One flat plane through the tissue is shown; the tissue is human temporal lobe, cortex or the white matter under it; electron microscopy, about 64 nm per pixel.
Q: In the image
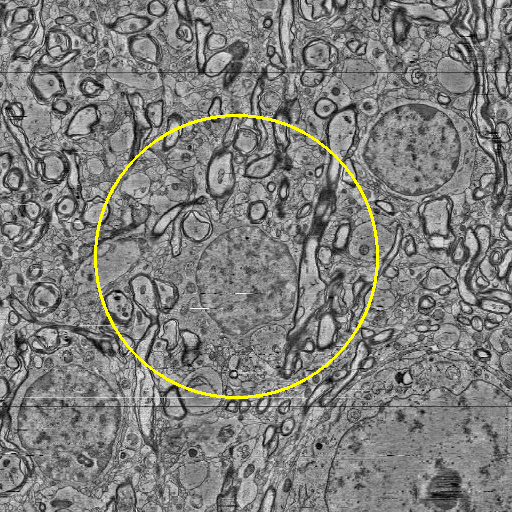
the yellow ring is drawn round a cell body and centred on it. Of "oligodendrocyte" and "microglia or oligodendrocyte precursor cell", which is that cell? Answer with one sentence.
The cell centred in the ring is an oligodendrocyte.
